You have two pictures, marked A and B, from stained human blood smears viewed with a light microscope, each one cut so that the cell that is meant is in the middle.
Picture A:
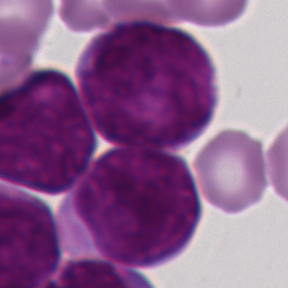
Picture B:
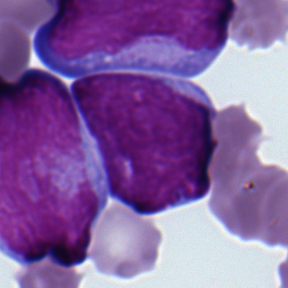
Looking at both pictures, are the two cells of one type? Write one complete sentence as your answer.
Yes, both cells are myeloblasts.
